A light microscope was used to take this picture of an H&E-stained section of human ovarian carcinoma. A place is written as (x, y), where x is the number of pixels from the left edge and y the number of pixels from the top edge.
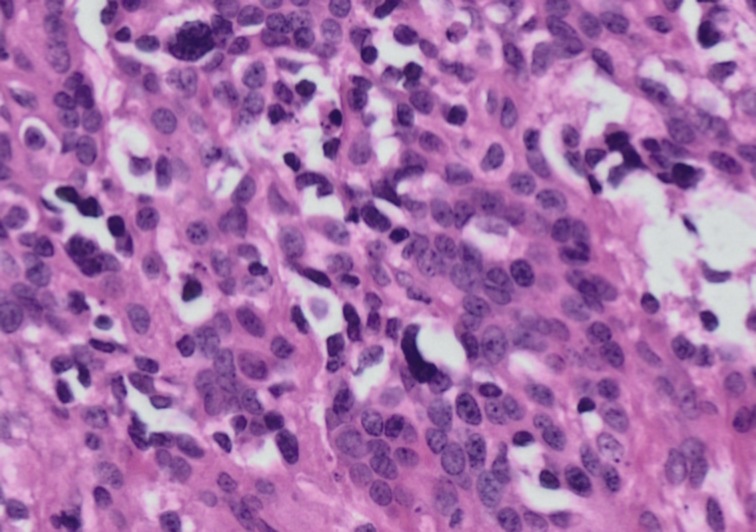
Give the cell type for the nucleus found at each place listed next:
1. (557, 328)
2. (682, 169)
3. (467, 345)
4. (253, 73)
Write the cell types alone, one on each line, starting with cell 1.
carcinoma cell
carcinoma cell
carcinoma cell
macrophage or monocyte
